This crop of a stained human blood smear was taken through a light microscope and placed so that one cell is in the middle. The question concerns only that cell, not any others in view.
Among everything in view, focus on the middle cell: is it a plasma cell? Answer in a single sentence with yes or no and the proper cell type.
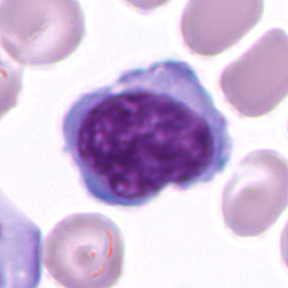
Yes, the cell right in the middle is a plasma cell.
